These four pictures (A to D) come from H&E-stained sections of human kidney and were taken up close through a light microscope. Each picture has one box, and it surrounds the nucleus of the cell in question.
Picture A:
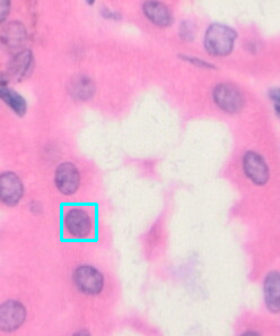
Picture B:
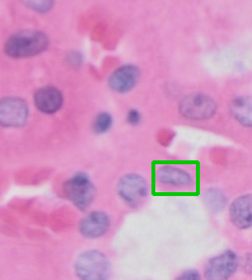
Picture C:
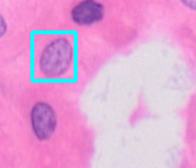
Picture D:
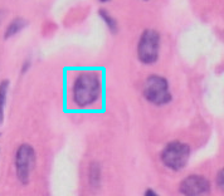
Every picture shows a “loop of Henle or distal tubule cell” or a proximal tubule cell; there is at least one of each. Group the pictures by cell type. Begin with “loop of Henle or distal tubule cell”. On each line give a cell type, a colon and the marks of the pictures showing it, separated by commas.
loop of Henle or distal tubule cell: B
proximal tubule cell: A, C, D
